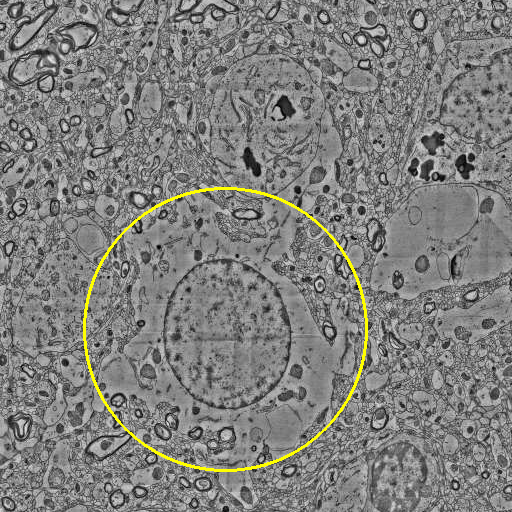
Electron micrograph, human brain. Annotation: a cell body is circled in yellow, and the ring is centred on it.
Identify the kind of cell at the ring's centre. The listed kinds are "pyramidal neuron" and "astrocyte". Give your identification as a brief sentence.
The circled cell body is that of an astrocyte.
